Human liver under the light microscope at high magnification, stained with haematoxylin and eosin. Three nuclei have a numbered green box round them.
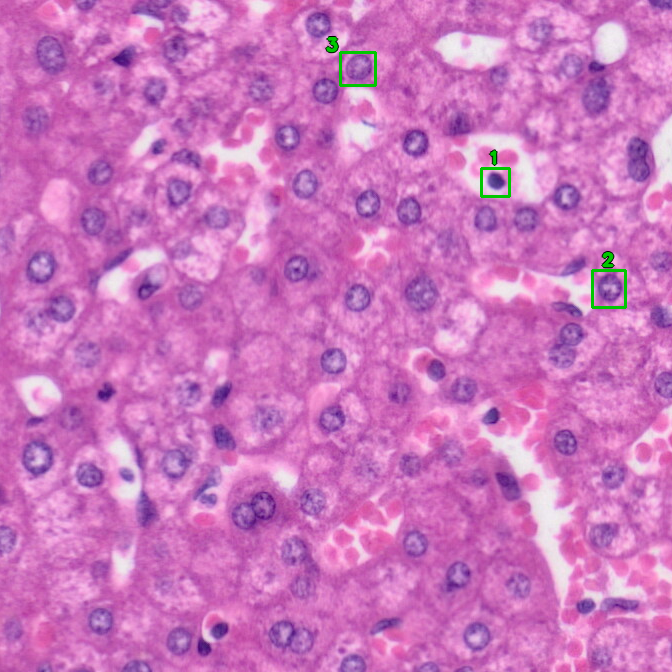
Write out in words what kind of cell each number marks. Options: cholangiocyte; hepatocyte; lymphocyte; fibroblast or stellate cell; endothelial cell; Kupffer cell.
Cell 1 is a lymphocyte, cell 2 is a hepatocyte and cell 3 is a hepatocyte.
